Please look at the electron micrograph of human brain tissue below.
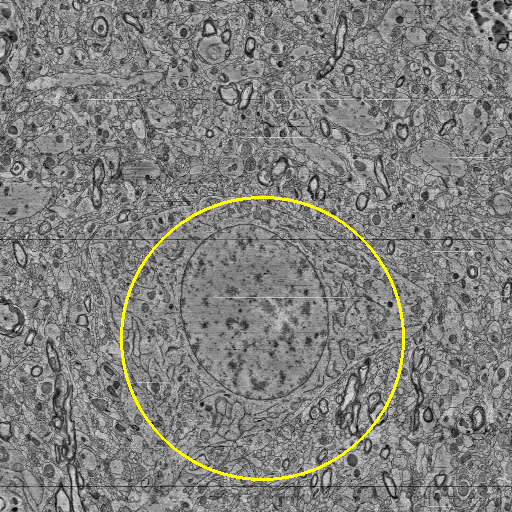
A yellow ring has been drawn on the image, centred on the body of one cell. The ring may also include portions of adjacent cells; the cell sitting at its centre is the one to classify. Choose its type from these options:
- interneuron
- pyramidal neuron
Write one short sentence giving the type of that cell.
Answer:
The cell in the middle of the ring is a pyramidal neuron.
